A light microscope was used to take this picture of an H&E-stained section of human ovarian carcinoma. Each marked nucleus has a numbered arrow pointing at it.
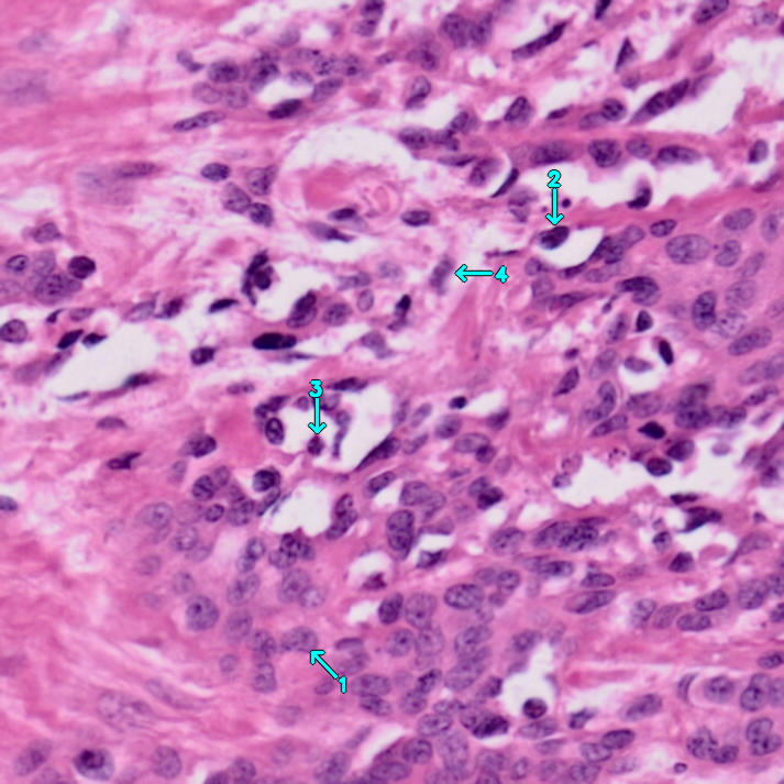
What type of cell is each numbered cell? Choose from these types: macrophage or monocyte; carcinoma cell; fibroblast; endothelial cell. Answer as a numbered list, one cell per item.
1. carcinoma cell
2. carcinoma cell
3. carcinoma cell
4. fibroblast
